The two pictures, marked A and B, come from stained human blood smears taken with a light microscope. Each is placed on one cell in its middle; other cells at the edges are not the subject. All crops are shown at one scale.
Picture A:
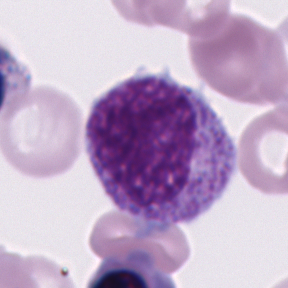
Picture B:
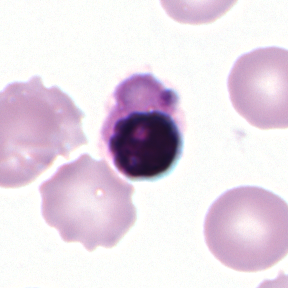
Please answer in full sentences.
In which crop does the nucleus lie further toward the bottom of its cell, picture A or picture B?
It is the nucleus in picture B that lies further toward the bottom of its cell.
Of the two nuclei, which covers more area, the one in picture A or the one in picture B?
Picture A shows the larger nucleus; it covers about 3 times the area of the nucleus in picture B.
